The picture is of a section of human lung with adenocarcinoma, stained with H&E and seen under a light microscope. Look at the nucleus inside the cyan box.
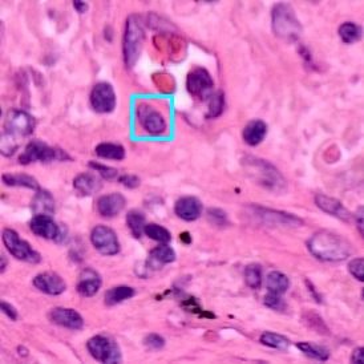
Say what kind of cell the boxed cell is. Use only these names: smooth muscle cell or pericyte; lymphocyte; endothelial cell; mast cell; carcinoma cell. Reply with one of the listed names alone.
mast cell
